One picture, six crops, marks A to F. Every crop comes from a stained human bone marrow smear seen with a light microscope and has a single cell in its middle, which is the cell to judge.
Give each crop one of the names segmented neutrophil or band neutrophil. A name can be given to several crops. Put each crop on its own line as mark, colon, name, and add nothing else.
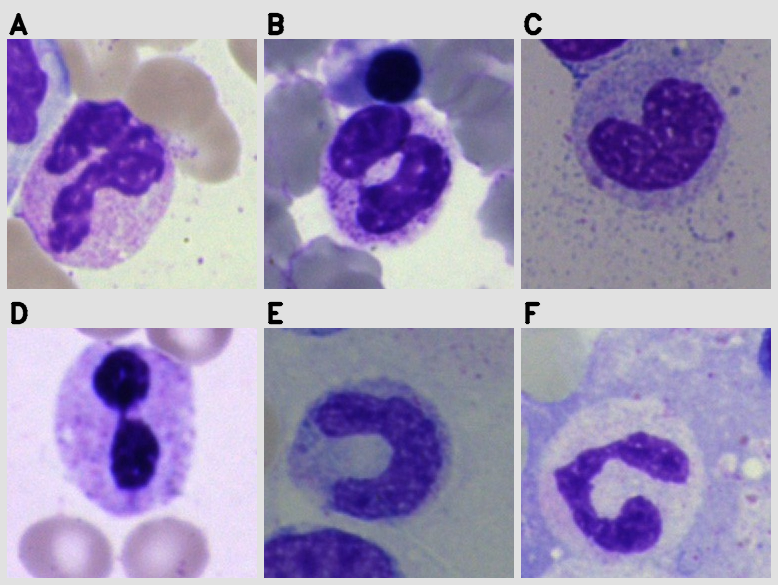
A: segmented neutrophil
B: segmented neutrophil
C: band neutrophil
D: segmented neutrophil
E: band neutrophil
F: segmented neutrophil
